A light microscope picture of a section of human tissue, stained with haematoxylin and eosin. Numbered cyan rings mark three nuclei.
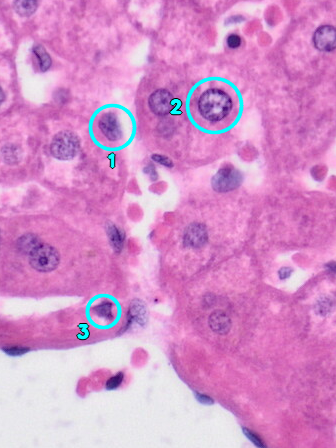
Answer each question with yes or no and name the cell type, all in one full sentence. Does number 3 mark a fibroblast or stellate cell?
Yes, the cell distinguished by number 3 is a fibroblast or stellate cell.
